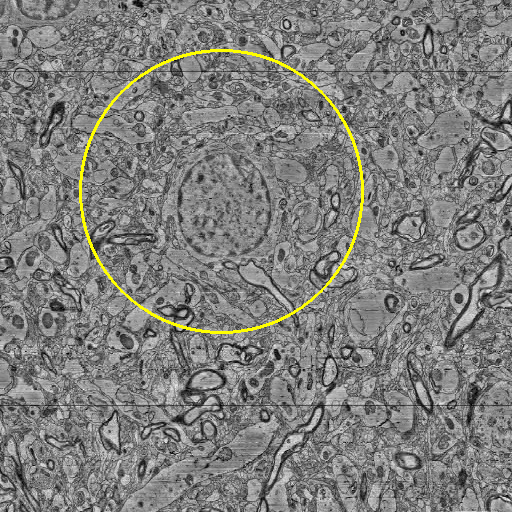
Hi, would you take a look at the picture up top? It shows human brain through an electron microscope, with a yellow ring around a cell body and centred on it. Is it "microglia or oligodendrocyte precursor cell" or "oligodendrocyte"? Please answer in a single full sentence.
The best fit for the cell in the middle of the ring is a microglial cell or oligodendrocyte precursor cell, I reckon.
